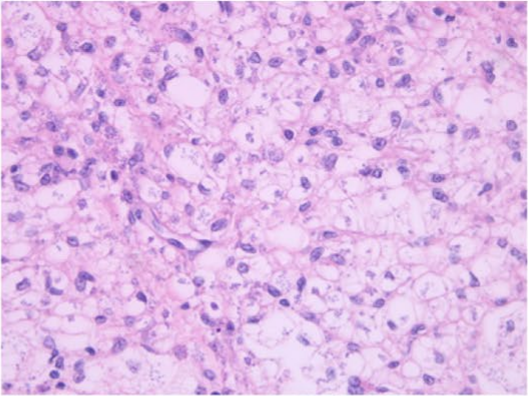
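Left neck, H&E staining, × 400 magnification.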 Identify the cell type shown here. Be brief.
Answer: histiocytes / foam cells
